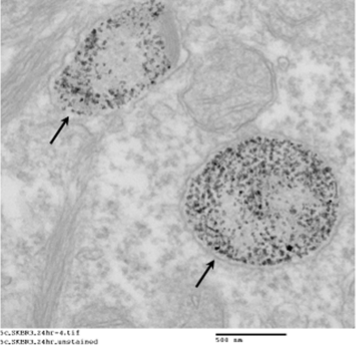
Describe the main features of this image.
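Electron micrograph of the cytoplasm of a breast cancer cell showing two rounded intracellular vesicles, each bounded by a thin membrane and packed with numerous small, dark, electron-dense particles. One vesicle is nearly circular and densely filled; the other is smaller, oval and partly filled. Between and beside them lies a mitochondrion with visible cristae. The surrounding cytoplasm is finely granular, with bundles of fine filaments running obliquely at the left edge and scattered membrane profiles elsewhere.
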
